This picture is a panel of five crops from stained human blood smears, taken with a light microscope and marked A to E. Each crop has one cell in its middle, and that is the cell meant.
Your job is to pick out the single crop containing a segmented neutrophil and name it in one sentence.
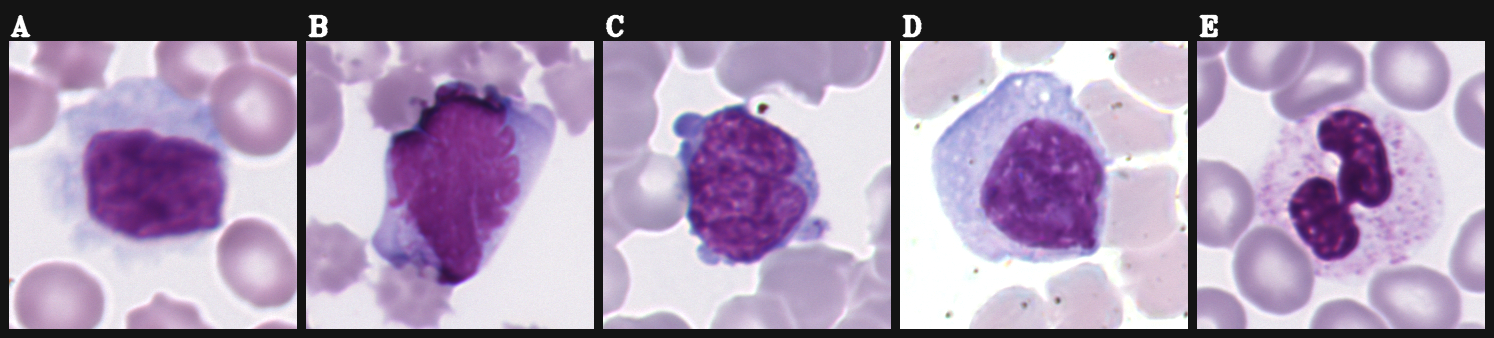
Crop E is the crop that displays a segmented neutrophil.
